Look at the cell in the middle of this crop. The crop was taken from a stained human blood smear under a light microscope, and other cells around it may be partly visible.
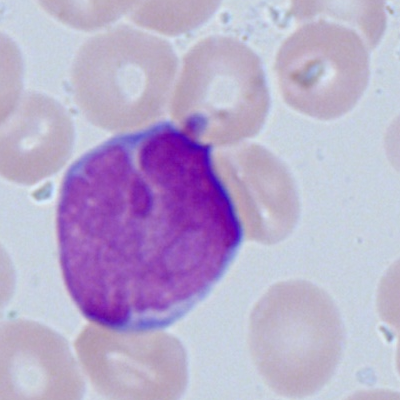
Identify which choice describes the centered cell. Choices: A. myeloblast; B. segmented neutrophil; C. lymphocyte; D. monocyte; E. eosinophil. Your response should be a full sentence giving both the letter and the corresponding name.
Option A is the right one, for the cell in the middle is a myeloblast.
